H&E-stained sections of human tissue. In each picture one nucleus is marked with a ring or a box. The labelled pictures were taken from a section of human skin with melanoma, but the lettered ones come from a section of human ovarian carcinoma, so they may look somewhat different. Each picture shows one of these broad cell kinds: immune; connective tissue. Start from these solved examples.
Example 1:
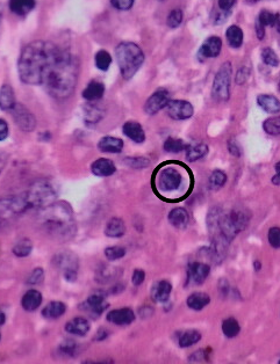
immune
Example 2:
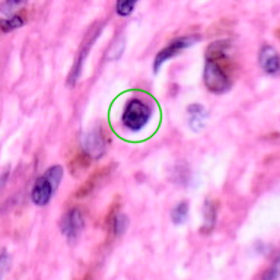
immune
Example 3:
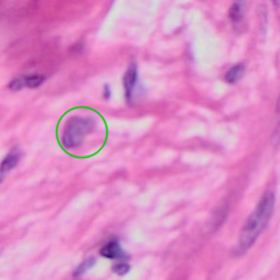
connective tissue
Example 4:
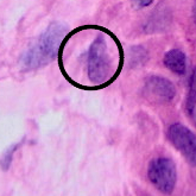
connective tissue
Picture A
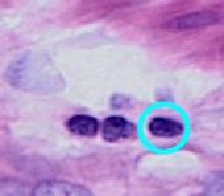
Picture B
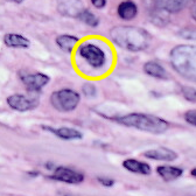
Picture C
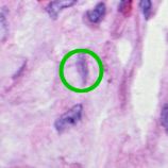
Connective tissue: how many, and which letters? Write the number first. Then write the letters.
1: C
